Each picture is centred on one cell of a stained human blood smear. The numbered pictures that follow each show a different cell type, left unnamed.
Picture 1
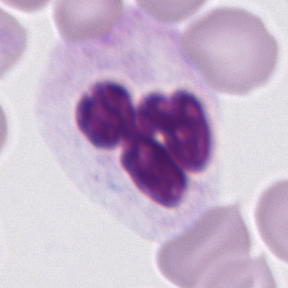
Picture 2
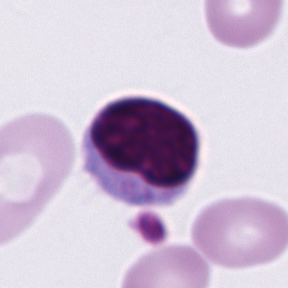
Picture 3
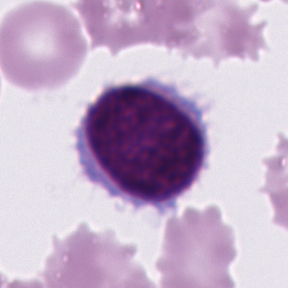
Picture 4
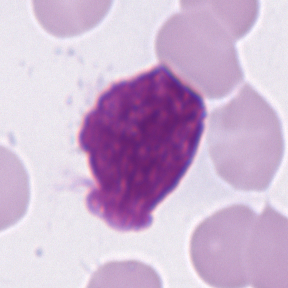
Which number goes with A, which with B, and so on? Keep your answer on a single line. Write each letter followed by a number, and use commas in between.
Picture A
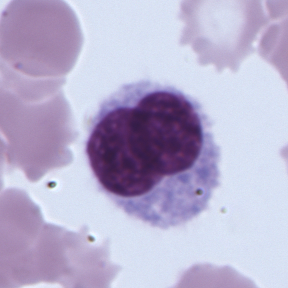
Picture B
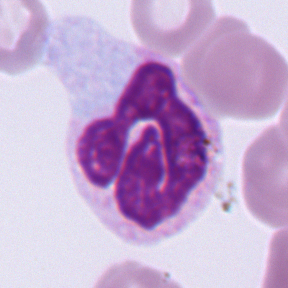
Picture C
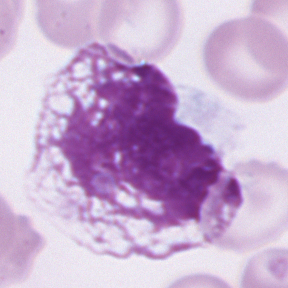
A 3, B 1, C 4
